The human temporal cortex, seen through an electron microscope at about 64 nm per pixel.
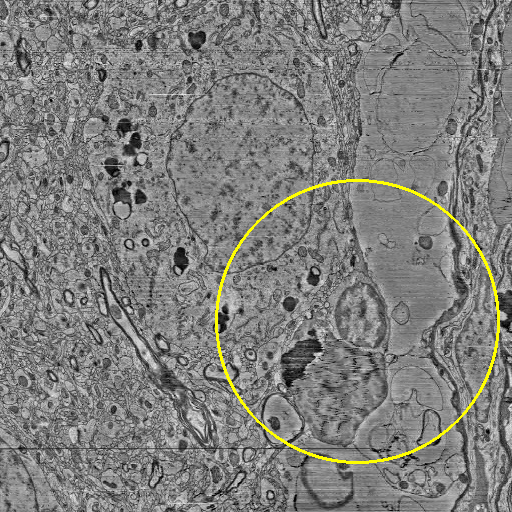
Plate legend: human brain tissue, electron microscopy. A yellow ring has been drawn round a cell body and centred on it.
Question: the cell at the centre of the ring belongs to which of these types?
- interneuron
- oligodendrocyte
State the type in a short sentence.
The cell in the middle of the ring is an oligodendrocyte.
